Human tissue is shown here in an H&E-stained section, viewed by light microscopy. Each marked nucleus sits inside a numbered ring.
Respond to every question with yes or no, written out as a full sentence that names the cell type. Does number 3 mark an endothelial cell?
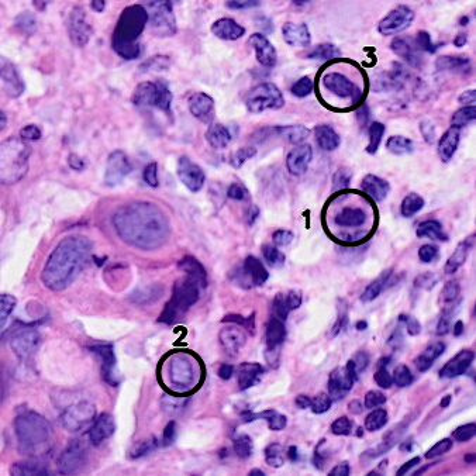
No, as for cell 3, it is a lymphocyte and not an endothelial cell.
